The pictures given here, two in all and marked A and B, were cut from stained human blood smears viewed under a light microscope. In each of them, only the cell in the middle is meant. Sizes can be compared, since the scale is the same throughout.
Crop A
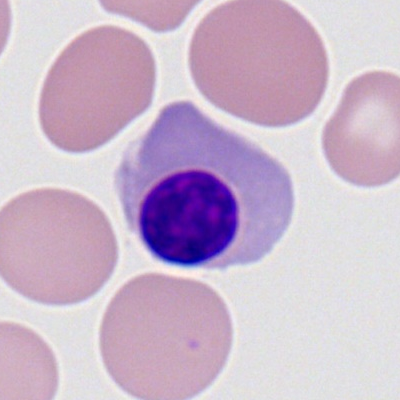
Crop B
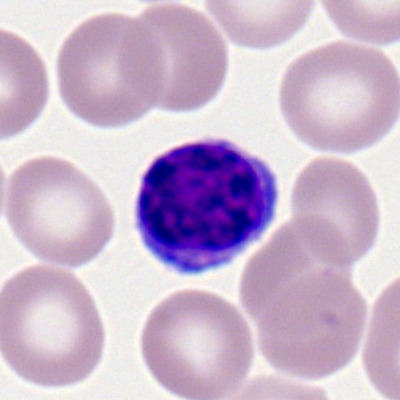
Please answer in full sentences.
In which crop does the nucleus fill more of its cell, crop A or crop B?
It is the cell in crop B that is filled more by its nucleus.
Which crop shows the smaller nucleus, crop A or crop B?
Crop A shows the smaller nucleus, since that in crop B covers about 1.5 times as much area.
